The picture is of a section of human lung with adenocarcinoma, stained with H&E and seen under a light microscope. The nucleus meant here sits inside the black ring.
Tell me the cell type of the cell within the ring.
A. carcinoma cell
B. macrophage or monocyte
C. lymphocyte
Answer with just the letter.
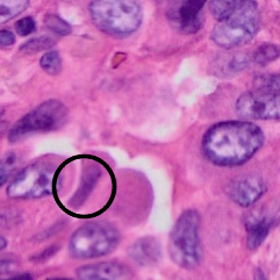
A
